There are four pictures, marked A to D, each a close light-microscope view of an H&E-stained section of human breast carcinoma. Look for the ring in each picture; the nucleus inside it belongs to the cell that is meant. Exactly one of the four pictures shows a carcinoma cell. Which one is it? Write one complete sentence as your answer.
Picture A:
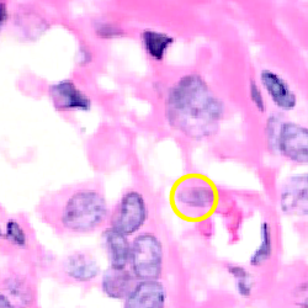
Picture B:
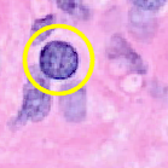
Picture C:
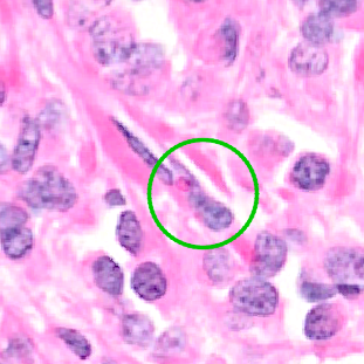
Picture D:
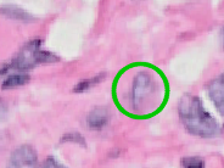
The cell in picture B is the carcinoma cell.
